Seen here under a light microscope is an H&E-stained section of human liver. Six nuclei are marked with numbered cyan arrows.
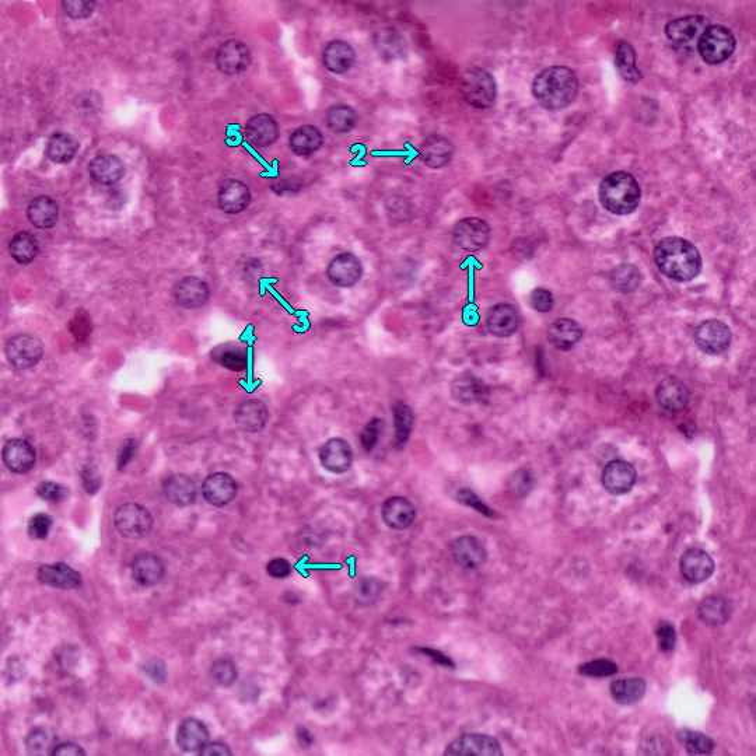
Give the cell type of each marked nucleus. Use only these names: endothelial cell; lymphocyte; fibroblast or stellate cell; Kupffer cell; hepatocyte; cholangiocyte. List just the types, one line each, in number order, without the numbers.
lymphocyte
hepatocyte
hepatocyte
hepatocyte
endothelial cell
hepatocyte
